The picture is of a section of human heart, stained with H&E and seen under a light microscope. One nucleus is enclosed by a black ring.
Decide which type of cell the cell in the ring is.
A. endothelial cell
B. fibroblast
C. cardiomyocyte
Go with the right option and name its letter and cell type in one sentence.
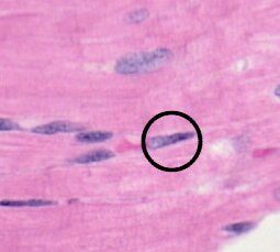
In the section, the cell in the ring is an endothelial cell, and option A is correct accordingly.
